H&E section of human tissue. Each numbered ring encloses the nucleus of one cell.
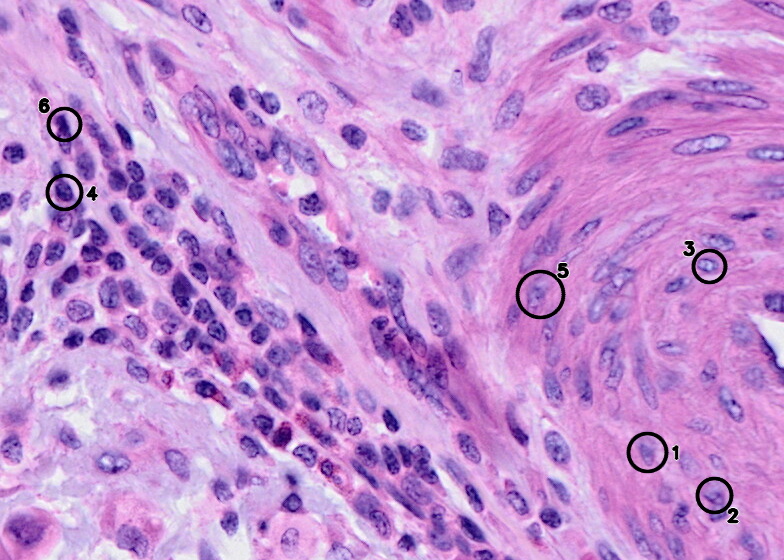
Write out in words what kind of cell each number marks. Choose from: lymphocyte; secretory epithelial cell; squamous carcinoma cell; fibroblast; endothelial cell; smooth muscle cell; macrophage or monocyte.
Cell 1 is a smooth muscle cell, cell 2 is a smooth muscle cell, cell 3 is a smooth muscle cell, cell 4 is a lymphocyte, cell 5 is a smooth muscle cell and cell 6 is a lymphocyte.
